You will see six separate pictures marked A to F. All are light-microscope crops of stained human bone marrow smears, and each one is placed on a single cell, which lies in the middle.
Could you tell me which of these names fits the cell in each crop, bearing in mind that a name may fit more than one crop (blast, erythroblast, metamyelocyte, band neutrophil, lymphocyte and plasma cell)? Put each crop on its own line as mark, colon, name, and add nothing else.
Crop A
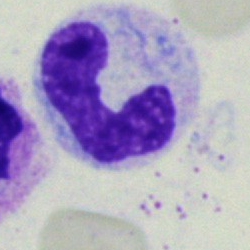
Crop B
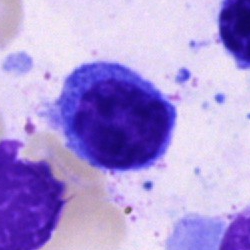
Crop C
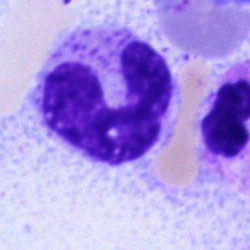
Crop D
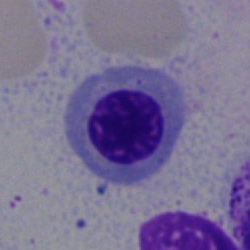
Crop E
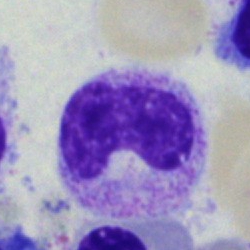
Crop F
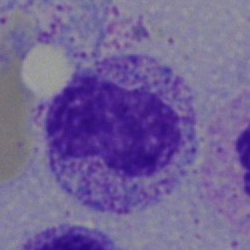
A: band neutrophil
B: lymphocyte
C: band neutrophil
D: erythroblast
E: metamyelocyte
F: metamyelocyte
